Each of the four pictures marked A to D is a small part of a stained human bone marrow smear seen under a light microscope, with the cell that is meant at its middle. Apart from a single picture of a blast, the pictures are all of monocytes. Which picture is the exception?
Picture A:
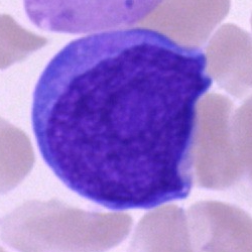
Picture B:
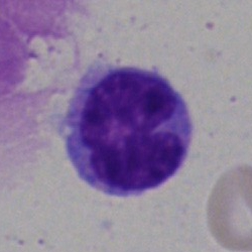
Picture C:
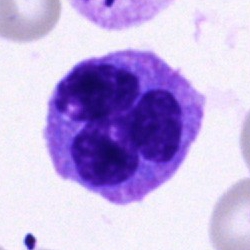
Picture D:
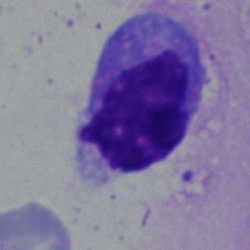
A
